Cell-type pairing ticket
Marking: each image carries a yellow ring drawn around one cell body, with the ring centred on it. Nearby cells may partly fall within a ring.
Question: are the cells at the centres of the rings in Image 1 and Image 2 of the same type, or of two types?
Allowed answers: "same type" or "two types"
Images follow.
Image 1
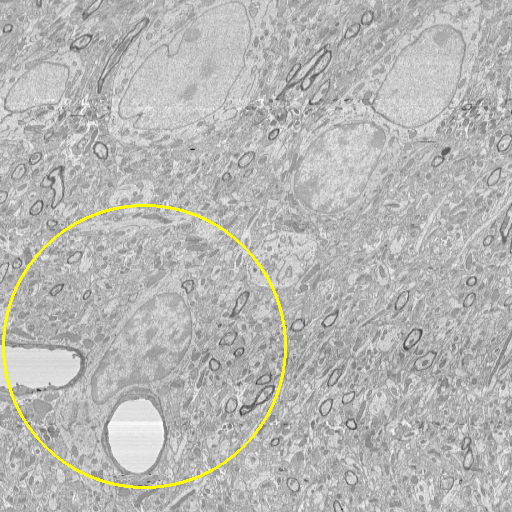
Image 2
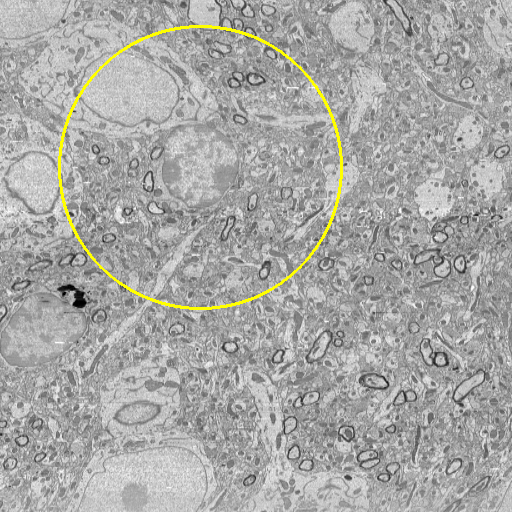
same type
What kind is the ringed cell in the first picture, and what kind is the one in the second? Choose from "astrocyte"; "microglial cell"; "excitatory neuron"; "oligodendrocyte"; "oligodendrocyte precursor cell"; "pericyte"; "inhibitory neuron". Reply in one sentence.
In each picture the ringed cell is an oligodendrocyte.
